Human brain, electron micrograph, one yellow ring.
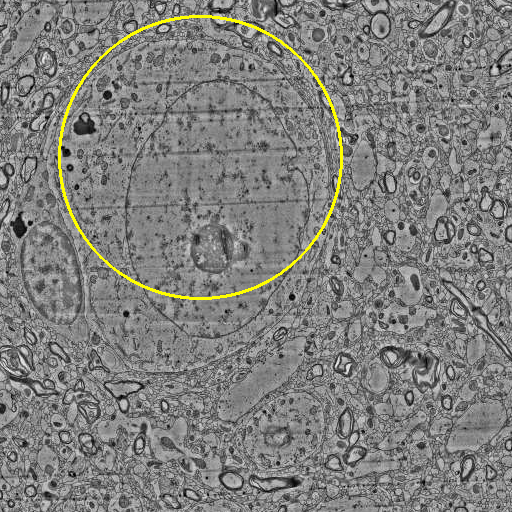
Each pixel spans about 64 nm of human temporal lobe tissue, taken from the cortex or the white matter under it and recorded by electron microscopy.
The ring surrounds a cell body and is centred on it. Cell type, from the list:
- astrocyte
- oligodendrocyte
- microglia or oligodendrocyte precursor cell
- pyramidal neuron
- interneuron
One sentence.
The yellow ring circles a pyramidal neuron.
